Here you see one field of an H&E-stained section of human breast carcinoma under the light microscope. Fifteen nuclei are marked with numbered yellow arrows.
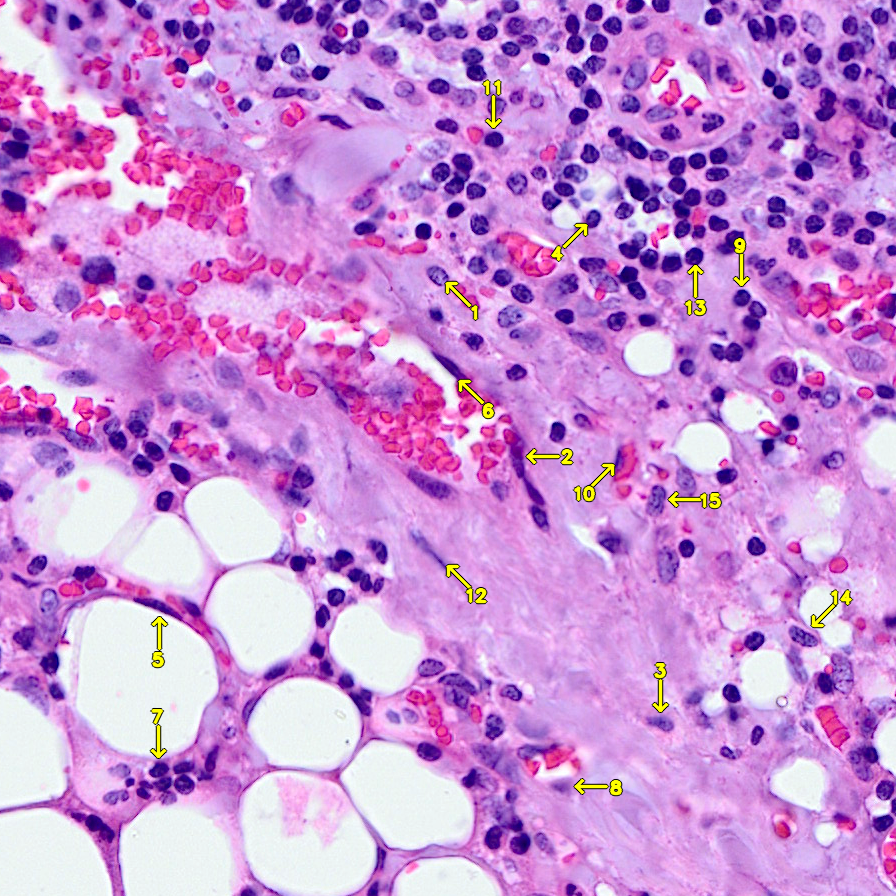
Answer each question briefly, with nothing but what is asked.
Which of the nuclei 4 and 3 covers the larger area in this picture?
3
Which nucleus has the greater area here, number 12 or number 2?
12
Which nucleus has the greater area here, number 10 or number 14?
14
